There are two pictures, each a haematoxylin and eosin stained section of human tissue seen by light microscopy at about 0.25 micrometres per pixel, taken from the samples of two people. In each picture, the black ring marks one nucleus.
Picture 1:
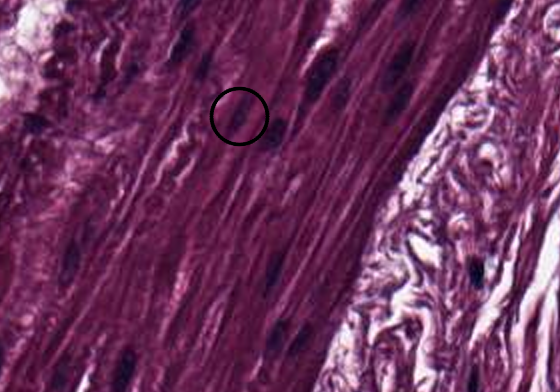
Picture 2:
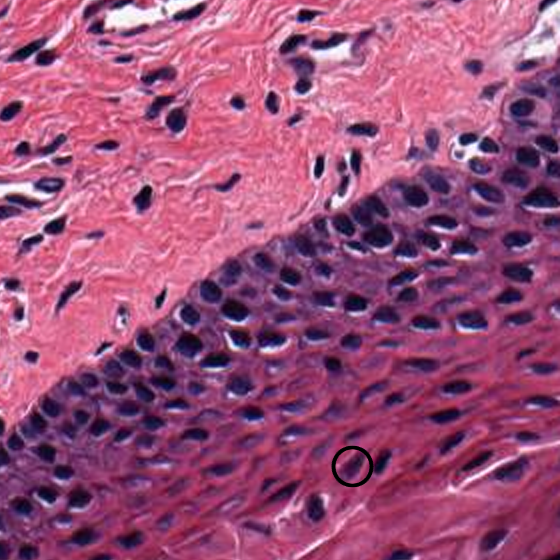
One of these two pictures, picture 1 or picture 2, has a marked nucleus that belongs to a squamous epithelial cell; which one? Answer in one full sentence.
The nucleus bearing the mark in picture 2 belongs to a squamous epithelial cell.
